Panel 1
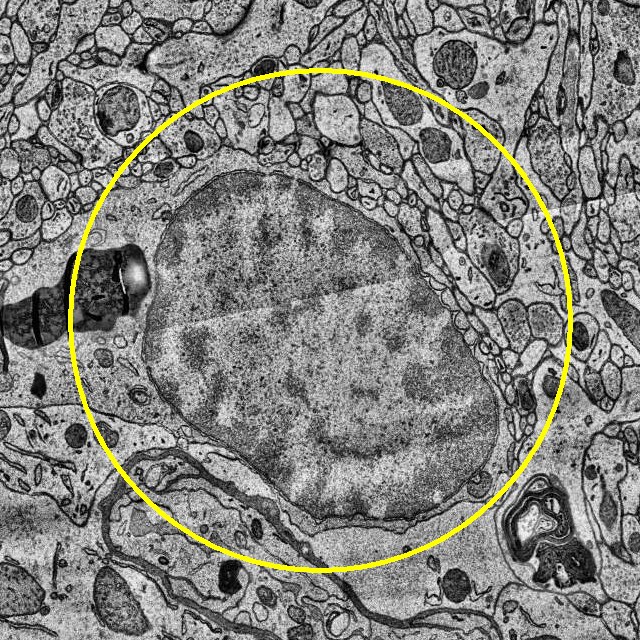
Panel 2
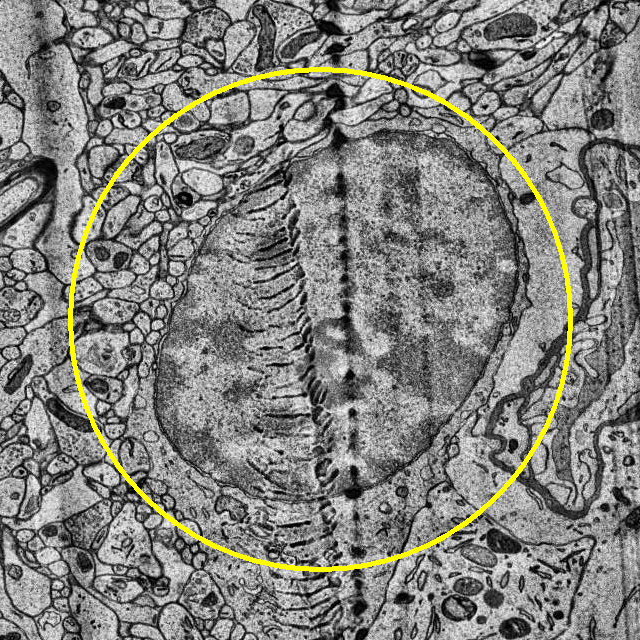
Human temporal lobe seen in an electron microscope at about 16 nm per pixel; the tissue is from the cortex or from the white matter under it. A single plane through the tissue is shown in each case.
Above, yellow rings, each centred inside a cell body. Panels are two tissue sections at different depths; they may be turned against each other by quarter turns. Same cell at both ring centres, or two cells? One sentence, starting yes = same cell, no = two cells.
Yes, the second ring marks the same cell as the first.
